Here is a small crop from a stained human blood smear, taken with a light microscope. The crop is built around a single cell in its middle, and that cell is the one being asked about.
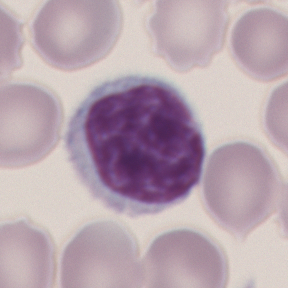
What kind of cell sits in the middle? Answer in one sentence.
The centrally placed cell is classified as a typical lymphocyte.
